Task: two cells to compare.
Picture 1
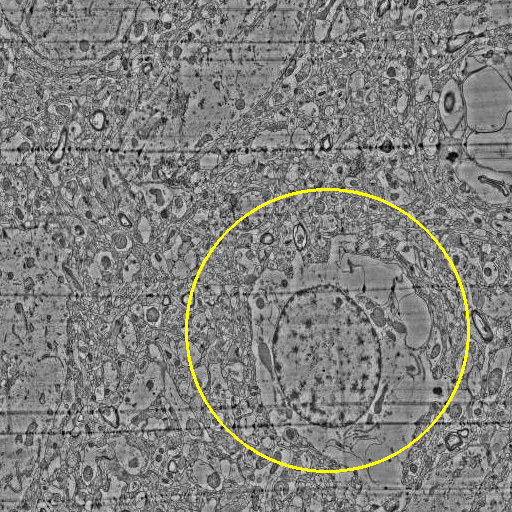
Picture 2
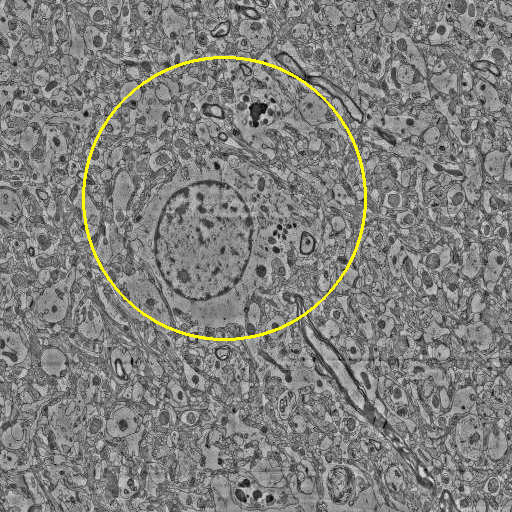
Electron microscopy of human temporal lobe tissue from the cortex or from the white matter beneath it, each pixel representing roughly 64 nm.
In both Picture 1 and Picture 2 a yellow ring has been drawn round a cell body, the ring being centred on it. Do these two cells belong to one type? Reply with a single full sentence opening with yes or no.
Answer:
Yes, the two cells at the ring centres in Picture 1 and Picture 2 share one type.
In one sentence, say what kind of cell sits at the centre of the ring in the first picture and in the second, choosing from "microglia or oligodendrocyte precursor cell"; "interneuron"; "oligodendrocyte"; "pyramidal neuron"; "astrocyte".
Both rings mark an astrocyte, one in each picture.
